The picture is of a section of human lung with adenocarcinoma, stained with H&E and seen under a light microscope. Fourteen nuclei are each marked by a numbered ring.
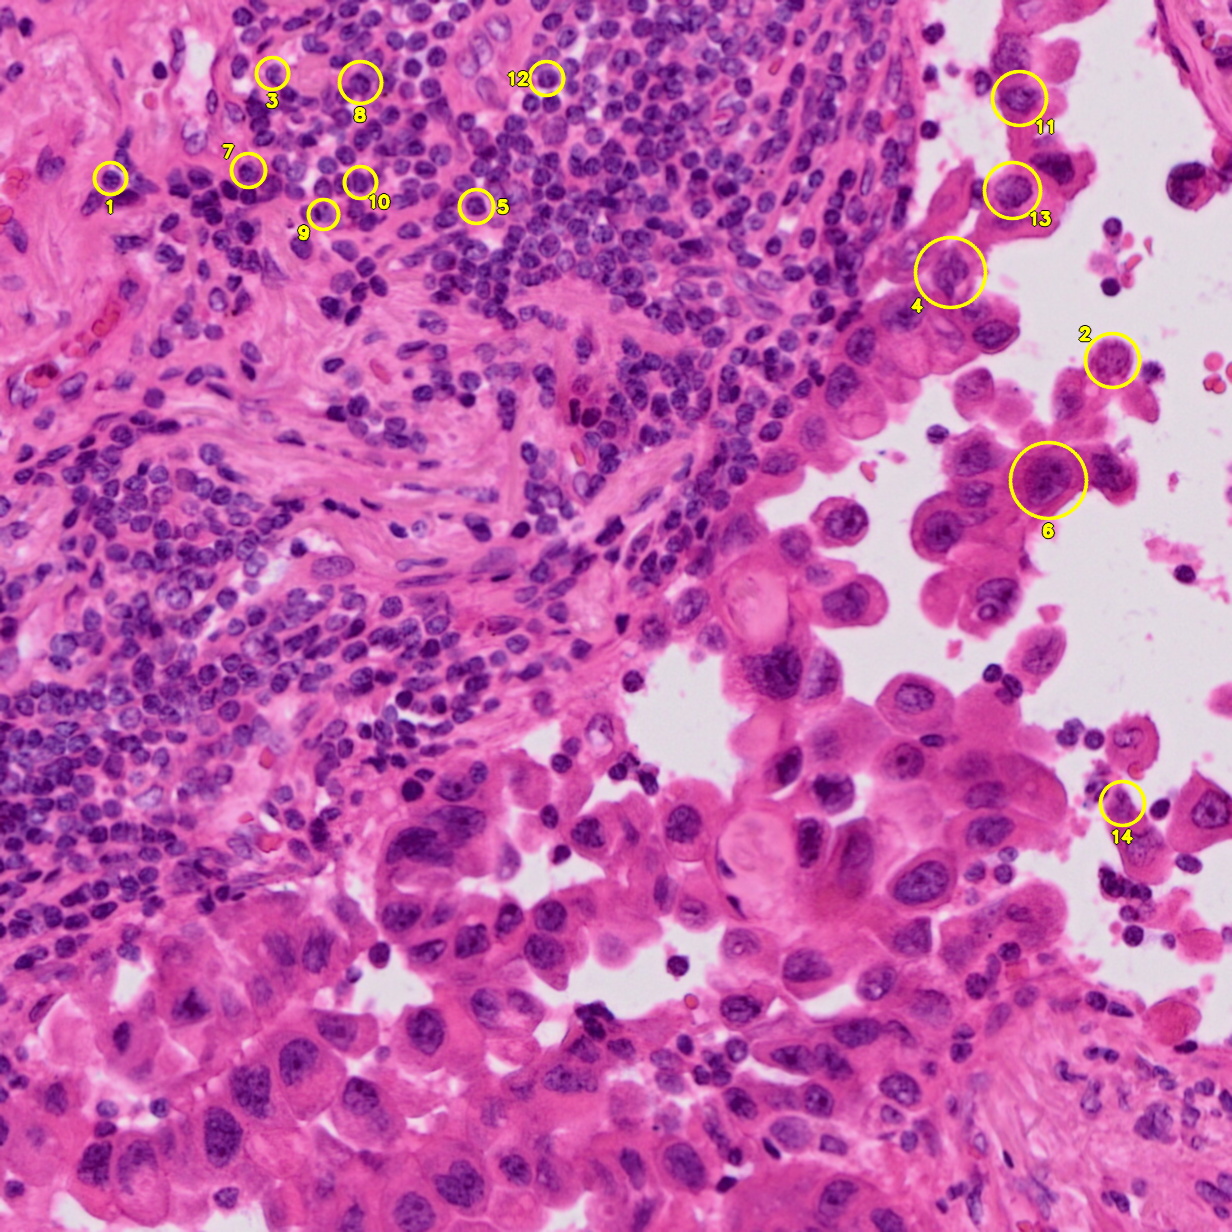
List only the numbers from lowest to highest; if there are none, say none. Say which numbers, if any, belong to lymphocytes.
1, 3, 5, 7, 8, 9, 10, 12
